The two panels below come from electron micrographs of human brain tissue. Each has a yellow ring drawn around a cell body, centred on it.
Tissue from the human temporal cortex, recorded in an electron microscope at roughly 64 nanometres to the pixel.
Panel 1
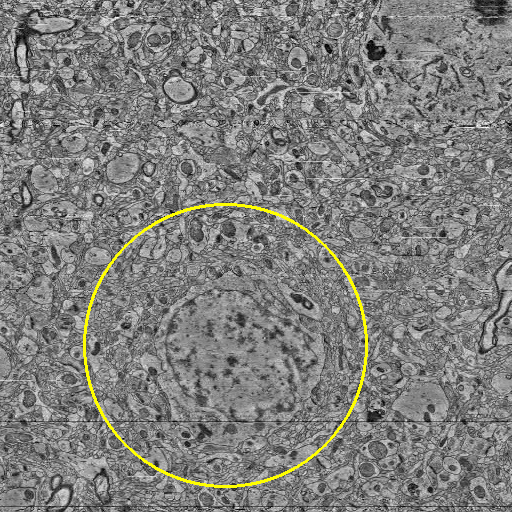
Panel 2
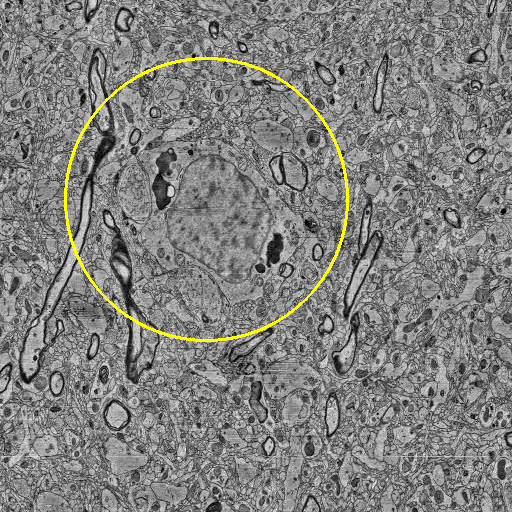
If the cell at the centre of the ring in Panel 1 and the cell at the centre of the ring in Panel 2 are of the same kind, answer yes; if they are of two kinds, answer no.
yes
